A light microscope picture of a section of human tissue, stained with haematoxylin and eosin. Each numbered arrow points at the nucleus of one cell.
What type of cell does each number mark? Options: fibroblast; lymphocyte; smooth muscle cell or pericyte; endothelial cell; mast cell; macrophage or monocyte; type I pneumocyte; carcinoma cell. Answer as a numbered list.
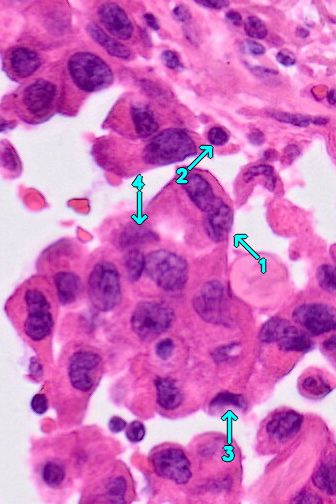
1. carcinoma cell
2. lymphocyte
3. carcinoma cell
4. carcinoma cell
